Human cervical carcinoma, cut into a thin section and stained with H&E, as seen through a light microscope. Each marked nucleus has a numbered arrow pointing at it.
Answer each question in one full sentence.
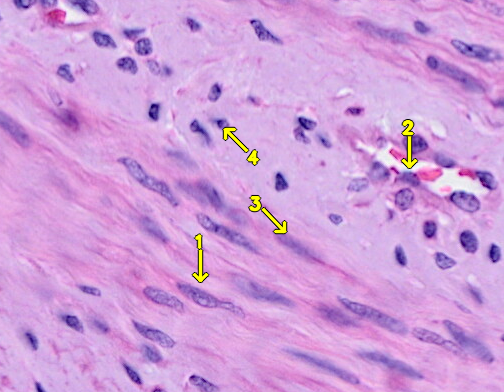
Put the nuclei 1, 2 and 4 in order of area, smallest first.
Smallest first, the nuclei run 4, 2, 1.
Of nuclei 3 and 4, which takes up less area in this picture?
The smaller nucleus is 4, and 3 covers roughly 4 times its area.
